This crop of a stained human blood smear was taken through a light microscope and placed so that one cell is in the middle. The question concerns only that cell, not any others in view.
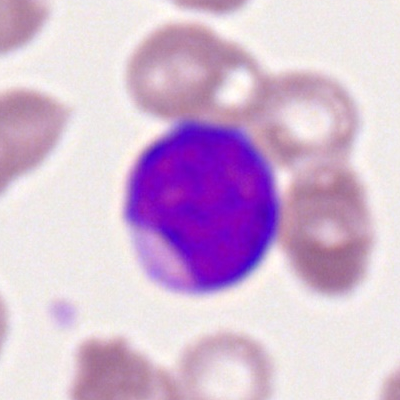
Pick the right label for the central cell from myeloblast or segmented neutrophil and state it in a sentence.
The middle cell in this particular crop is a myeloblast.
